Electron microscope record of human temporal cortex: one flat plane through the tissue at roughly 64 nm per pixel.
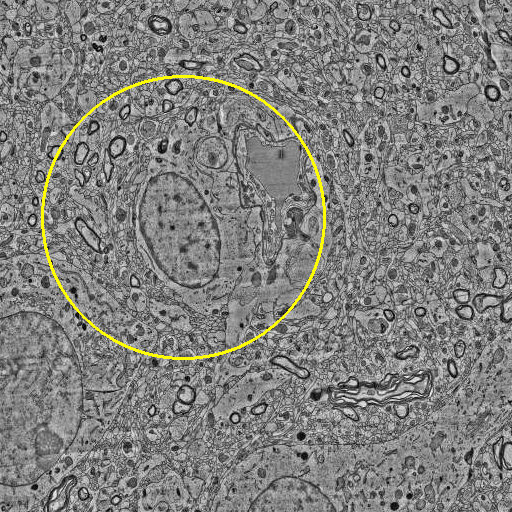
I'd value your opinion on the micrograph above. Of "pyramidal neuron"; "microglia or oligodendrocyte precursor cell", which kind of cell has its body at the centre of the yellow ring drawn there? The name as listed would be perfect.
microglia or oligodendrocyte precursor cell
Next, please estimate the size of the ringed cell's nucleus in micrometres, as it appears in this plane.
In this plane, about 8 by 5 micrometres: the nucleus is clearly longer than it is wide.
